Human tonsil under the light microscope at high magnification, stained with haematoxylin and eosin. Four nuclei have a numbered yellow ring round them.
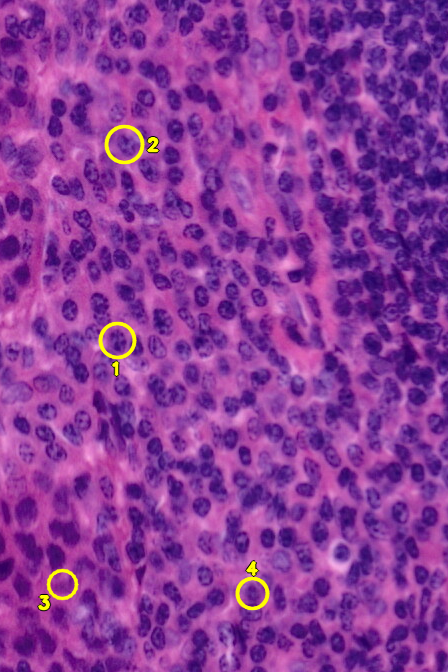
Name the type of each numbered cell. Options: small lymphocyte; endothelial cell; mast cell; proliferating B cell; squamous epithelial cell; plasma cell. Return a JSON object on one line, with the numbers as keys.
{"1": "plasma cell", "2": "plasma cell", "3": "squamous epithelial cell", "4": "plasma cell"}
